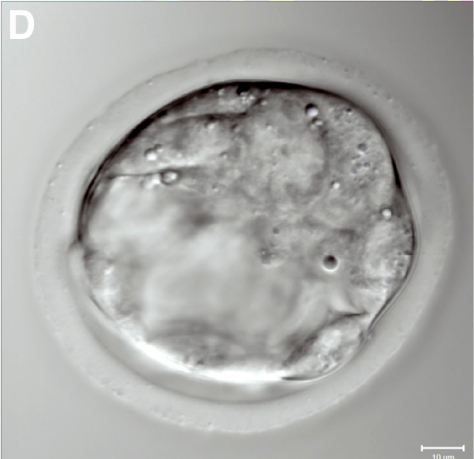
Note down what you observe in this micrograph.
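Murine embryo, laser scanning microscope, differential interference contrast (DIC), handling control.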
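A large smooth cavity fills the lower and central part, bounded by a thin outer layer of flattened cells. A denser, granular group of cells lies against the wall at the upper part. Small refractile droplets are scattered through the cells. The blastocyst nearly fills the zona, leaving only a narrow space along the margins.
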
